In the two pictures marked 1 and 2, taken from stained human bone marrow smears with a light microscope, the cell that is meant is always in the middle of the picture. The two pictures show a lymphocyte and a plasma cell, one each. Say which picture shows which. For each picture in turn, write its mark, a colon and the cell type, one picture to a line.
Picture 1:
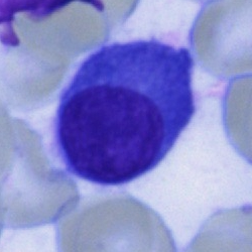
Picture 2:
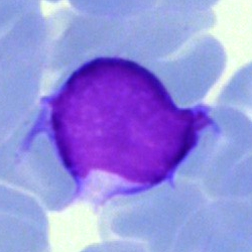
1: plasma cell
2: lymphocyte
